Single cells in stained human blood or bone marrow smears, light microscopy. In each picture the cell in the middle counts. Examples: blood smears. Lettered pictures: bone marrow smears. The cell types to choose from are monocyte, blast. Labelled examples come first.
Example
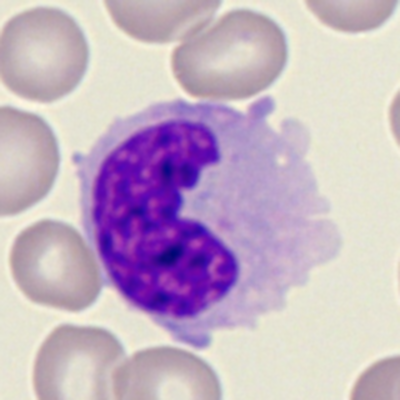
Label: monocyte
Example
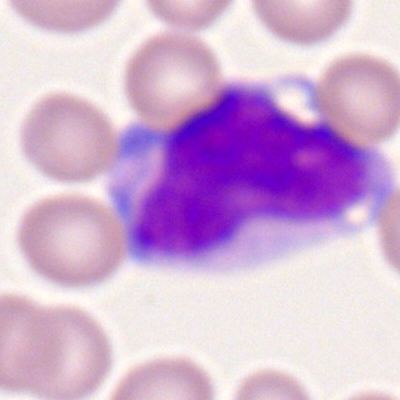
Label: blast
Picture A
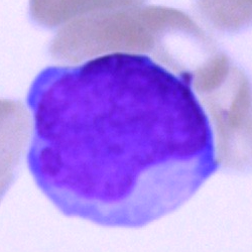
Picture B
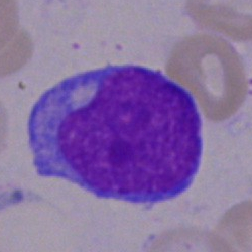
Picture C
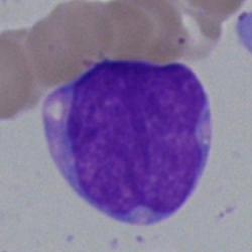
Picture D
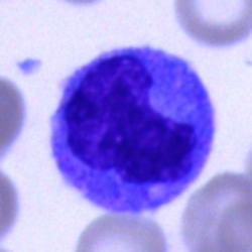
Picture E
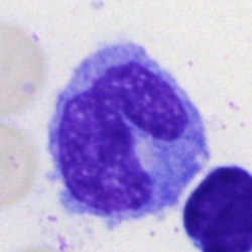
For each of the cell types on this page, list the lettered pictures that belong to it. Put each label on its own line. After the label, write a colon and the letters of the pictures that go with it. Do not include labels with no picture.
monocyte: D, E
blast: A, B, C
